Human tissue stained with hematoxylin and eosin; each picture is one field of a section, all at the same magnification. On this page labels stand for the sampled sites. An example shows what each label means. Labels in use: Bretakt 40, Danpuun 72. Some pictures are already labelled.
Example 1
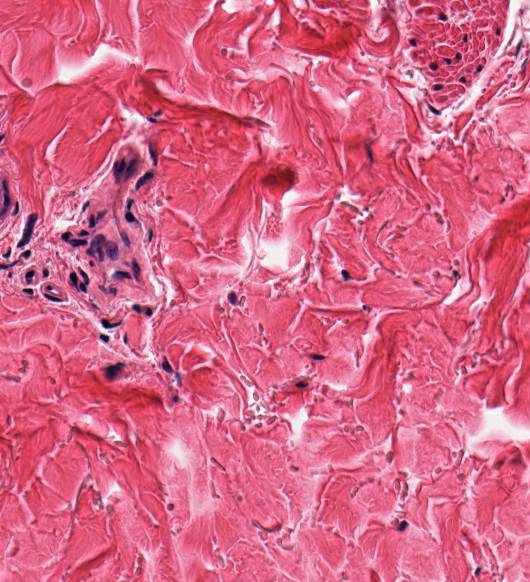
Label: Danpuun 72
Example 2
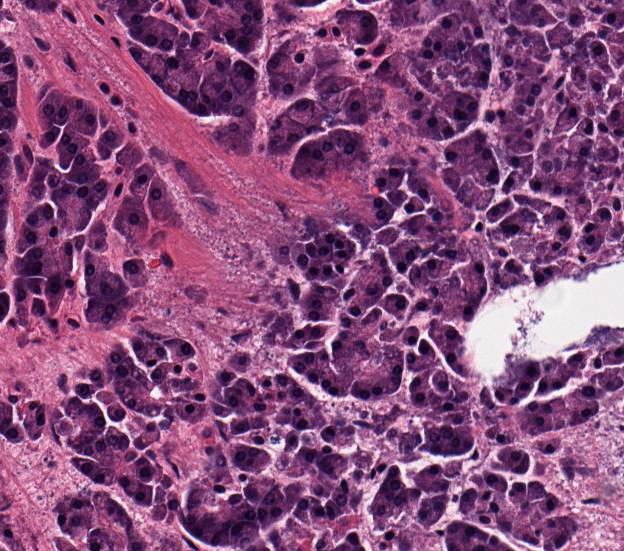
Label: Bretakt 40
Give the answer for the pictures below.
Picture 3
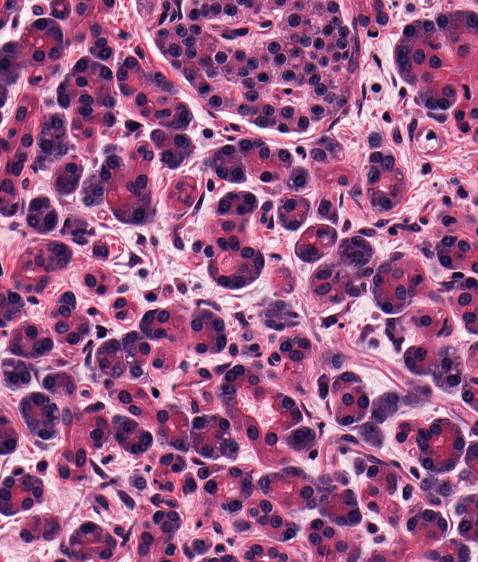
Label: Bretakt 40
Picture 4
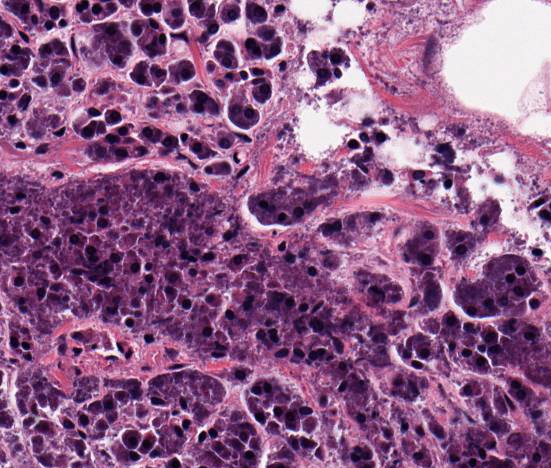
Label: Bretakt 40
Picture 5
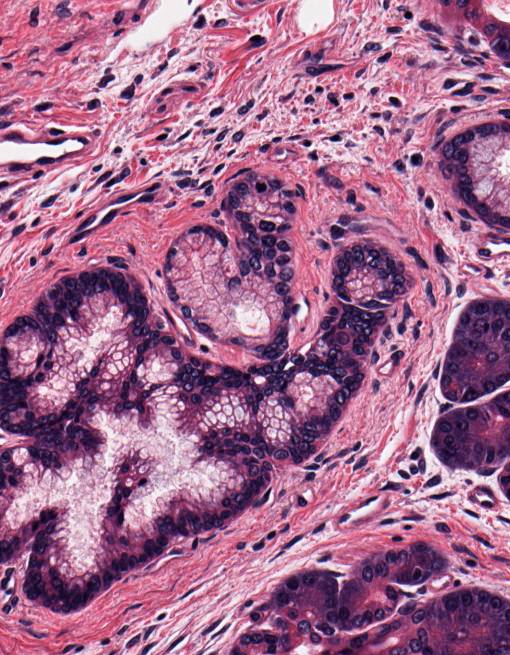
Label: Bretakt 40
